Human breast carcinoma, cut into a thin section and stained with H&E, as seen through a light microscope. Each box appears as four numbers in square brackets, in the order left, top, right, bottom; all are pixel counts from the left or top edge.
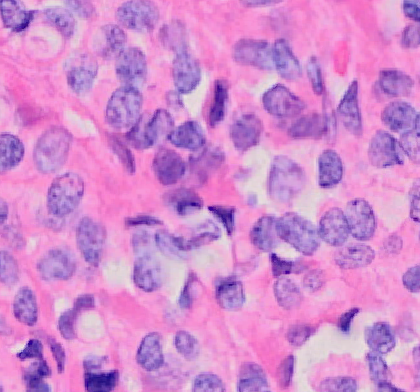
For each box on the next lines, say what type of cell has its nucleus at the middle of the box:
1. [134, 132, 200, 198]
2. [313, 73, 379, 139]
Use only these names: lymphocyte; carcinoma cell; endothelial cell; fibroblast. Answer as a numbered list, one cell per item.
1. carcinoma cell
2. endothelial cell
